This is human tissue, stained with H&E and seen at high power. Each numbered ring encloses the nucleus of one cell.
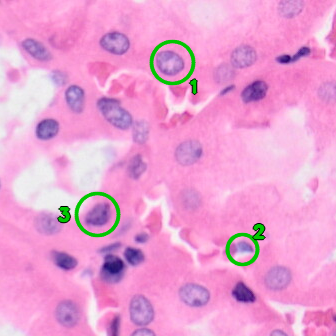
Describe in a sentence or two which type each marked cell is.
Cell 1 is a proximal tubule cell, cell 2 is an endothelial cell and cell 3 is a loop of Henle or distal tubule cell.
